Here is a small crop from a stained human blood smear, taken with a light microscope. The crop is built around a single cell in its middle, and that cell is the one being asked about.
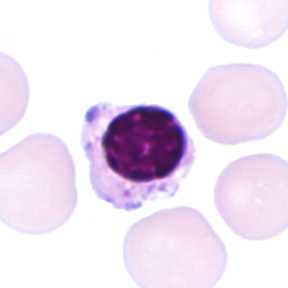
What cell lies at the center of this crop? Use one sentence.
Regarding the central cell, it is a normoblast.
